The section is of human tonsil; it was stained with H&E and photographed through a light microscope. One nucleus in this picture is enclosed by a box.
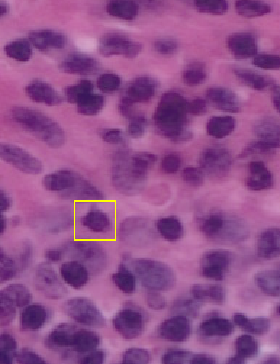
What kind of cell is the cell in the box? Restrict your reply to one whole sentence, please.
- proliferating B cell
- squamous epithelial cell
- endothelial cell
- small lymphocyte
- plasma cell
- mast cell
The cell type represented by the cell in the box is that of an endothelial cell.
